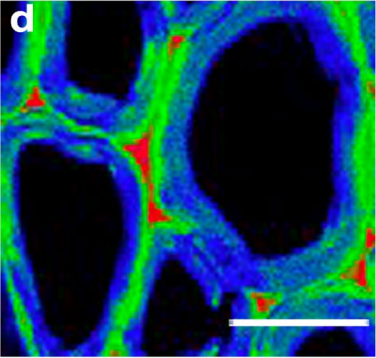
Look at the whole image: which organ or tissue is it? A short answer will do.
secondary xylem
